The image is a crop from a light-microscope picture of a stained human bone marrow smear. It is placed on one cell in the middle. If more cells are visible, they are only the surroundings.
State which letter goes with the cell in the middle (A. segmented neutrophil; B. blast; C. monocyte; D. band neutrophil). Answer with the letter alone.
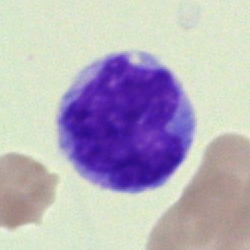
C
